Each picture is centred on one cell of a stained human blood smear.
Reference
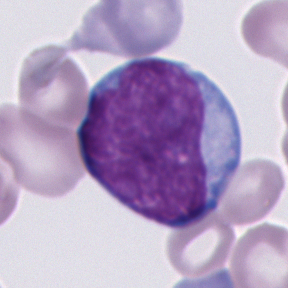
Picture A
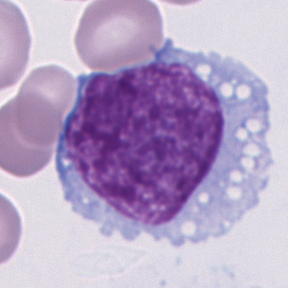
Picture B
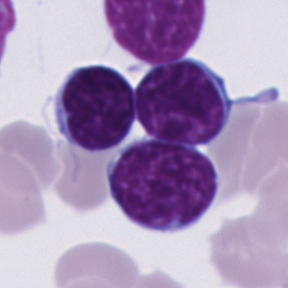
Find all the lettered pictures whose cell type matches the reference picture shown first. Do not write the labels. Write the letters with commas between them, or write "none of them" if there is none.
A, B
